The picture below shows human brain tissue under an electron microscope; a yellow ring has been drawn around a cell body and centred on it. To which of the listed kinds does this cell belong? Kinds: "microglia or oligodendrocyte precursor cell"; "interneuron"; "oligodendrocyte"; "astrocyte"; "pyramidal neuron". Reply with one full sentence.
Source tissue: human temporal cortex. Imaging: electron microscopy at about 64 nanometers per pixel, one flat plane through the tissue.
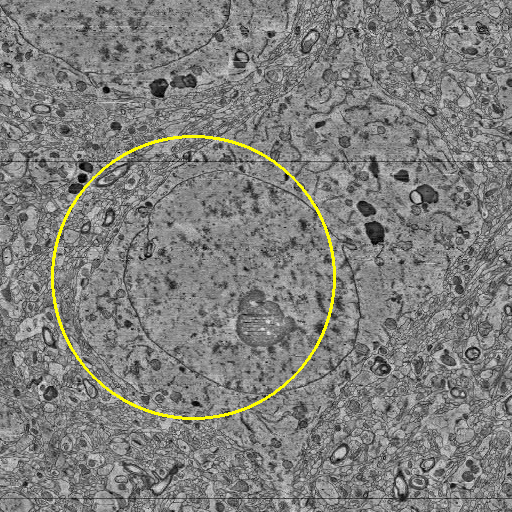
It is a pyramidal neuron that the yellow ring in the picture is centred on.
